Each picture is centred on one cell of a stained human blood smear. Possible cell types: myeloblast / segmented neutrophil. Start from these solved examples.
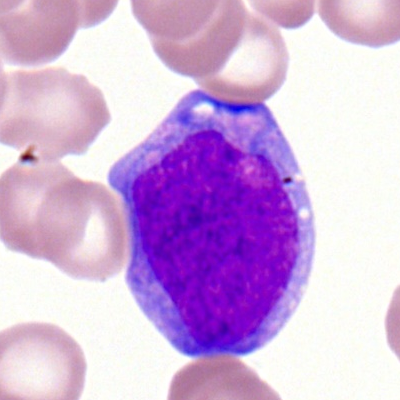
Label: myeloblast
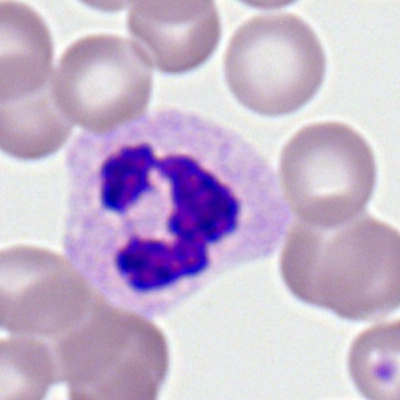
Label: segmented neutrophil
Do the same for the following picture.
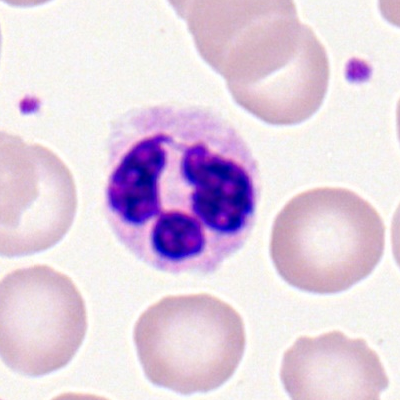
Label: segmented neutrophil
